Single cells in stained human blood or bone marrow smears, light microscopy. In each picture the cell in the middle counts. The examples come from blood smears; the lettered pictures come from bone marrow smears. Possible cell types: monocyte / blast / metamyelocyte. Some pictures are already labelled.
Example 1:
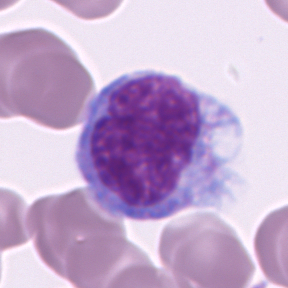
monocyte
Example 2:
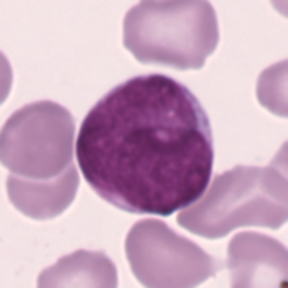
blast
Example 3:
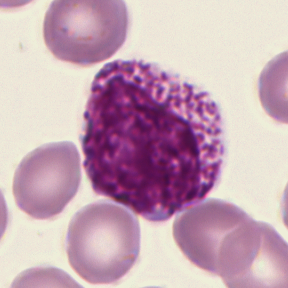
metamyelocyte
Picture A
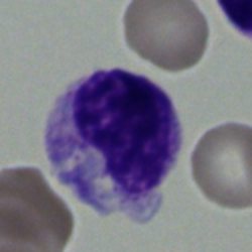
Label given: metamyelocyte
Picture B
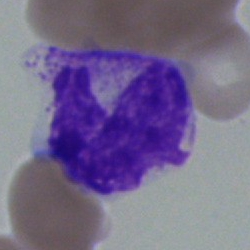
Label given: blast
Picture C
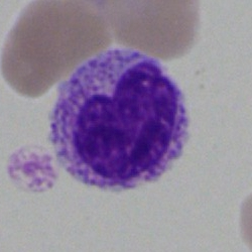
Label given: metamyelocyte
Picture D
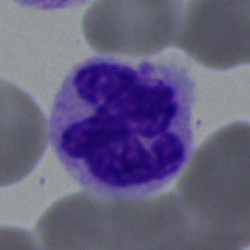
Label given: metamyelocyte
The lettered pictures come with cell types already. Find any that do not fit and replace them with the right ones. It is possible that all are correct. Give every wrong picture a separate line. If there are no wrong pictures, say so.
B should be metamyelocyte, not blast
D should be monocyte, not metamyelocyte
